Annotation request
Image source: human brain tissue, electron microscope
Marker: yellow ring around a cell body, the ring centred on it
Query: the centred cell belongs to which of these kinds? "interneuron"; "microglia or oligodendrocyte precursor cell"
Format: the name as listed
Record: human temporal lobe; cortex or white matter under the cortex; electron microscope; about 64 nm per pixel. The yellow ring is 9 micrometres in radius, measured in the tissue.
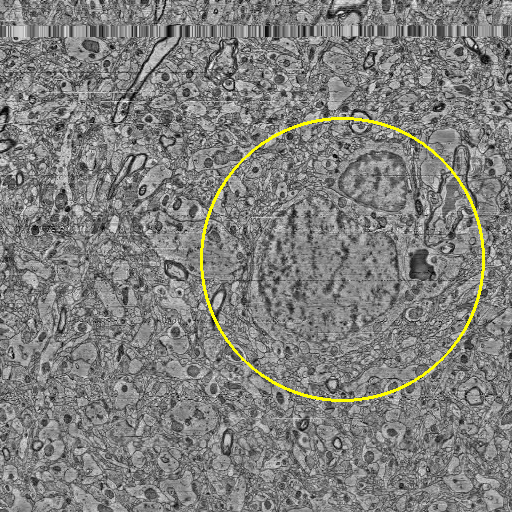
interneuron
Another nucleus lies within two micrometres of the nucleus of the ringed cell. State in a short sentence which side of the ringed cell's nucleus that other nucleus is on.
The other nucleus is located above it.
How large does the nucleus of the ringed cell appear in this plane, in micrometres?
The nucleus of the ringed cell is approximately 9 micrometres across in this plane.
